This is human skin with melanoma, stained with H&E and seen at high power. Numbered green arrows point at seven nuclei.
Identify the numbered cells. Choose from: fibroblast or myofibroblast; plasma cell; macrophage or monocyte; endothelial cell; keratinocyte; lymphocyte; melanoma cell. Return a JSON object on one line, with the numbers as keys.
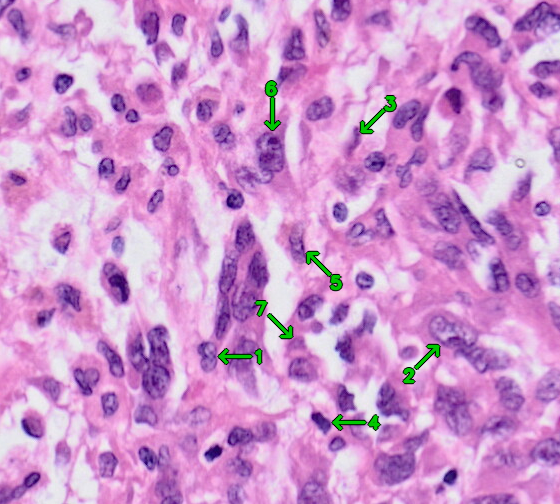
{"1": "macrophage or monocyte", "2": "melanoma cell", "3": "fibroblast or myofibroblast", "4": "lymphocyte", "5": "macrophage or monocyte", "6": "melanoma cell", "7": "melanoma cell"}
